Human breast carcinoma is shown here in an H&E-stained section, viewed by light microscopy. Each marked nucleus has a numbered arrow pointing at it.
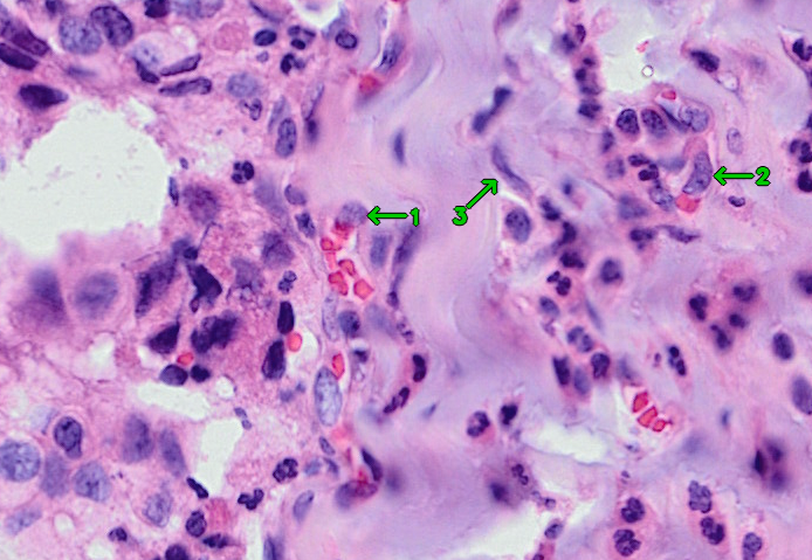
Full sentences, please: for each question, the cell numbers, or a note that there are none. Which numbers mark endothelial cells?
By cell type, the cells numbered 1 and 2 are endothelial cells.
